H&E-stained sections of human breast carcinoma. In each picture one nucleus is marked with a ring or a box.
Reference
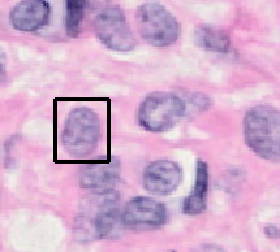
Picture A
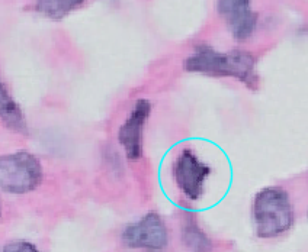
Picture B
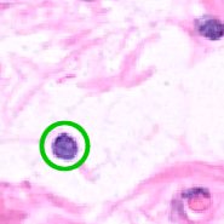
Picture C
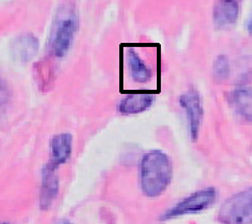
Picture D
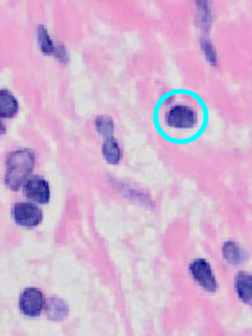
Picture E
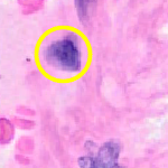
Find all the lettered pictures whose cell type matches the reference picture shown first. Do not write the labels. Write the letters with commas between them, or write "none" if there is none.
A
